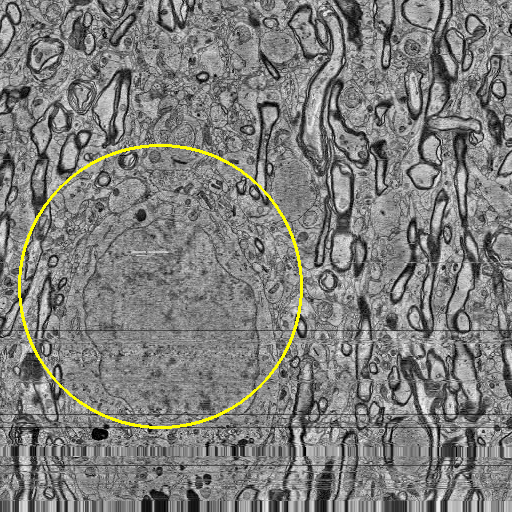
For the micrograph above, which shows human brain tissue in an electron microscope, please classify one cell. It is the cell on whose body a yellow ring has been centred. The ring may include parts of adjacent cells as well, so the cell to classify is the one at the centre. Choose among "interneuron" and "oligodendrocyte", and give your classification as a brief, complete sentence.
I classify this cell as an interneuron.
